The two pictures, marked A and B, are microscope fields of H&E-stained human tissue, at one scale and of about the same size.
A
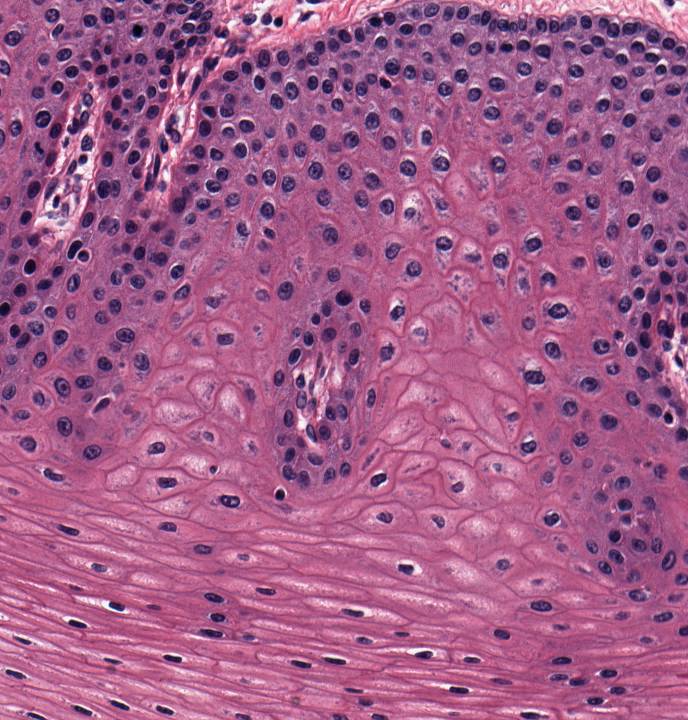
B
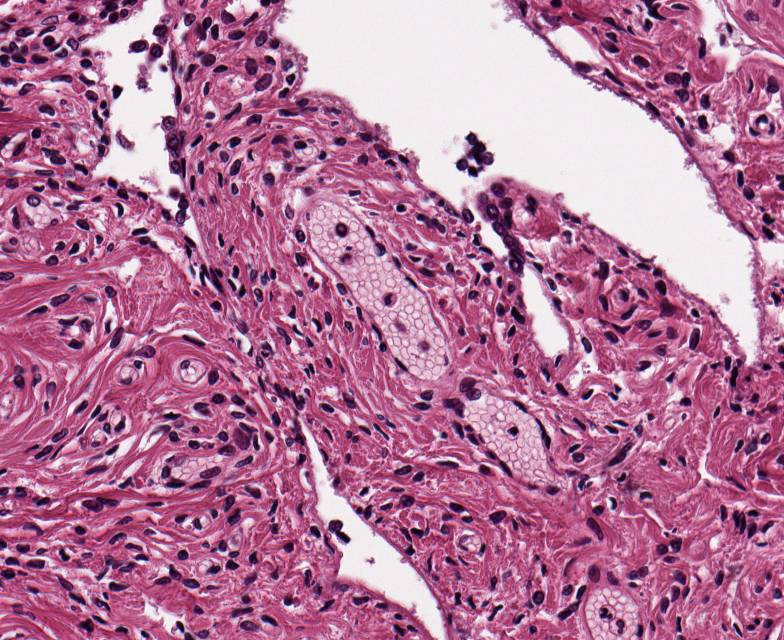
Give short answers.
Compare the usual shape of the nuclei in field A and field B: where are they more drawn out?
B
